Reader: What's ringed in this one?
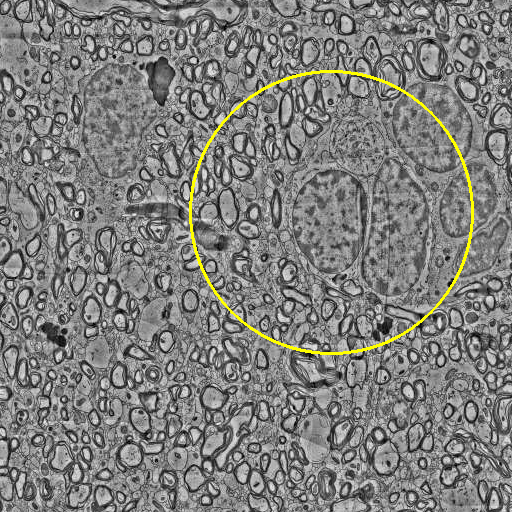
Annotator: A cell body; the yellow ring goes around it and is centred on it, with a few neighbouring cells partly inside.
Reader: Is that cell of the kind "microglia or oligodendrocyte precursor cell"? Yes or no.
yes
